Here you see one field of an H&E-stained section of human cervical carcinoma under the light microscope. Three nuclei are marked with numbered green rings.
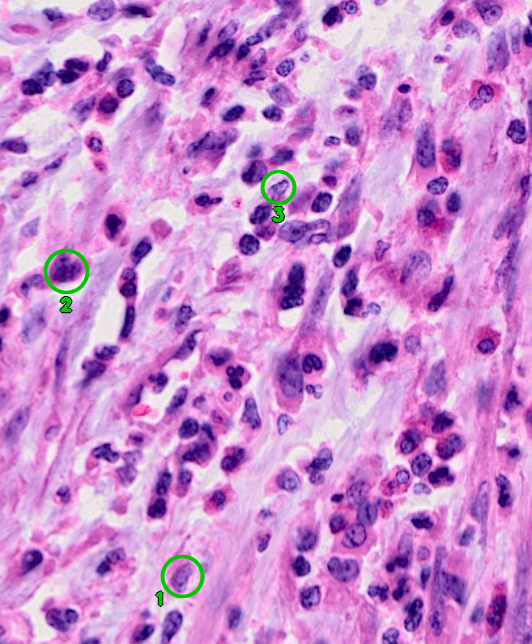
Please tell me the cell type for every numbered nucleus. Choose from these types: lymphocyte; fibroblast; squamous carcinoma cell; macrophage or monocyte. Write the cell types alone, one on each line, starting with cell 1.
macrophage or monocyte
macrophage or monocyte
lymphocyte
